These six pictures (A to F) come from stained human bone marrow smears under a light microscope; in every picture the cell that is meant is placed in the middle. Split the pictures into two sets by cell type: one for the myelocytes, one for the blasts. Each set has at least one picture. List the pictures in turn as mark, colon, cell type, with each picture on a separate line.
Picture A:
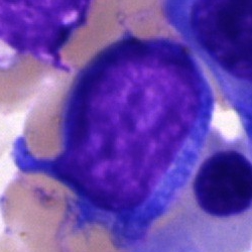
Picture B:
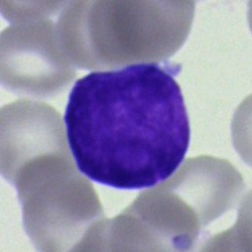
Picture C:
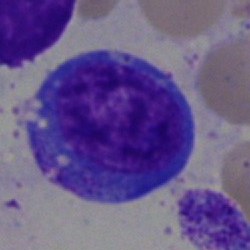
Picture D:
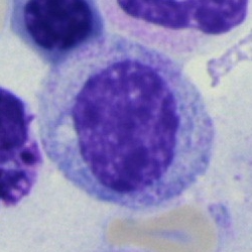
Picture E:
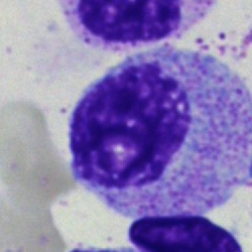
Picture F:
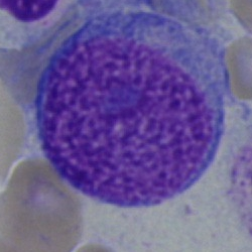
A: blast
B: blast
C: blast
D: myelocyte
E: myelocyte
F: blast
